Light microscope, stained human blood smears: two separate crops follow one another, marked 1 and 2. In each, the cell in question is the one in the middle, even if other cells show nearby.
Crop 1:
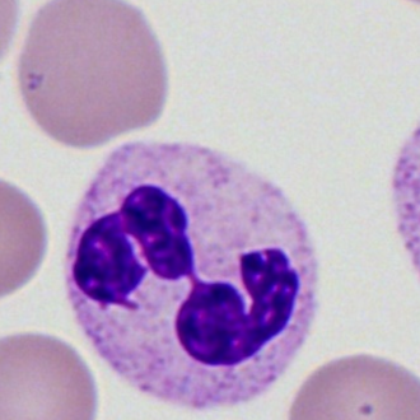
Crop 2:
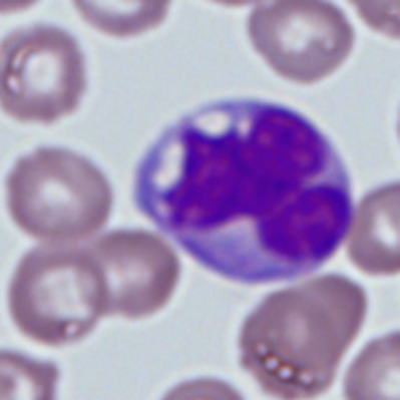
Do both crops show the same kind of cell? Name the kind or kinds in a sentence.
No, crop 1 presents a neutrophil, whereas crop 2 presents a monocyte.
